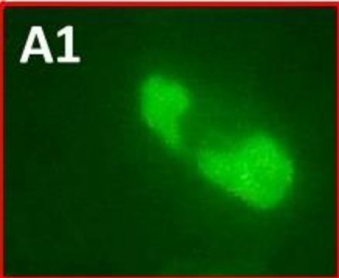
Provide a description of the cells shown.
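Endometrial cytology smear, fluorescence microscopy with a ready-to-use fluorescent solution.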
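The nucleus is divided into separate lobes of unequal size. The chromatin is bright and slightly granular, and no cytoplasm is clearly visible around it.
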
